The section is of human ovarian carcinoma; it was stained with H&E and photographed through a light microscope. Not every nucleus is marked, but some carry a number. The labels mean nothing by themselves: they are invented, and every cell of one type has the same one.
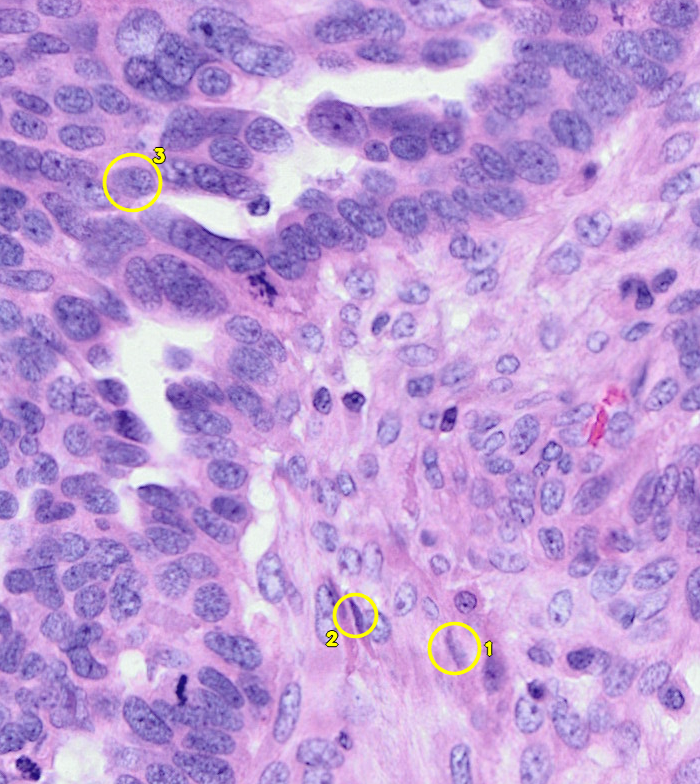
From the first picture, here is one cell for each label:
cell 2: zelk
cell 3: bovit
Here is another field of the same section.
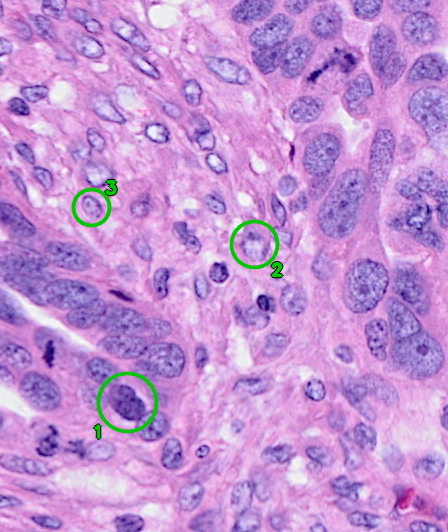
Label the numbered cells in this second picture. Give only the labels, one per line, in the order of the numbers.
bovit
zelk
zelk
